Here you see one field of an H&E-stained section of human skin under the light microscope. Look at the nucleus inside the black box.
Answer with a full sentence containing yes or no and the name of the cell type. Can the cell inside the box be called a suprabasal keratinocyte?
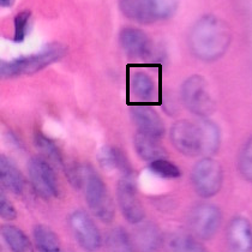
No, in this tissue section, the cell inside the box is not a suprabasal keratinocyte but a basal keratinocyte.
